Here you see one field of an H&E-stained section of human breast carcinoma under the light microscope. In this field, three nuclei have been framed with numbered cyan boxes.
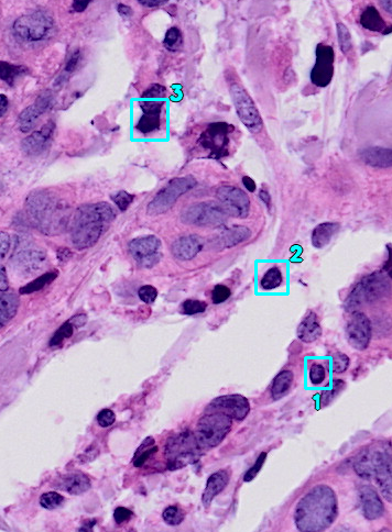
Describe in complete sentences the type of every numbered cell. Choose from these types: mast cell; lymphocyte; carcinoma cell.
Cell 1 is a lymphocyte, cell 2 is a lymphocyte and cell 3 is a carcinoma cell.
